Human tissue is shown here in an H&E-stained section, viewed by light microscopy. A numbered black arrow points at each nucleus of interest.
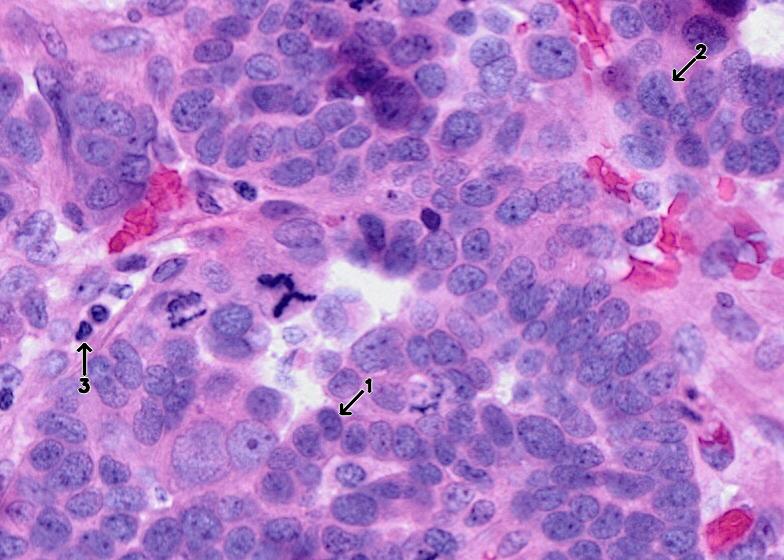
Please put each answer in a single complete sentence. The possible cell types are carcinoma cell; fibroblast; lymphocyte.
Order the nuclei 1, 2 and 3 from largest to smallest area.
Largest first, the order by area is 2, 1, 3.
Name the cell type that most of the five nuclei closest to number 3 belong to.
Most of the five nuclei nearest to number 3 are those of fibroblasts.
